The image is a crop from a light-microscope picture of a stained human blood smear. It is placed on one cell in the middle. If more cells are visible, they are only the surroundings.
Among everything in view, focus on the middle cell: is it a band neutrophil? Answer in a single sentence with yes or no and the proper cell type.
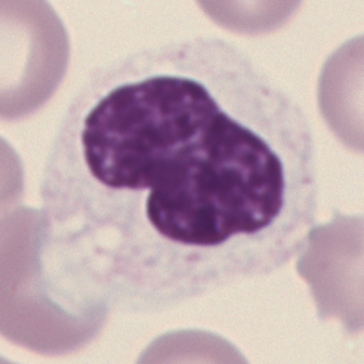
Yes, a band neutrophil is the cell positioned in the middle of the field.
